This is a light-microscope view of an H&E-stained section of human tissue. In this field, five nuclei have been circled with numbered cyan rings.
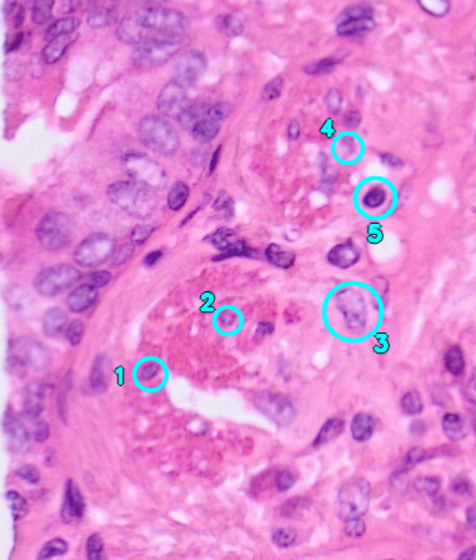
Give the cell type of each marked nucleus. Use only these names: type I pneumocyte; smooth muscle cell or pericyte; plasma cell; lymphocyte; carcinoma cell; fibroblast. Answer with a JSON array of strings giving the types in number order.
["smooth muscle cell or pericyte", "smooth muscle cell or pericyte", "fibroblast", "smooth muscle cell or pericyte", "lymphocyte"]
